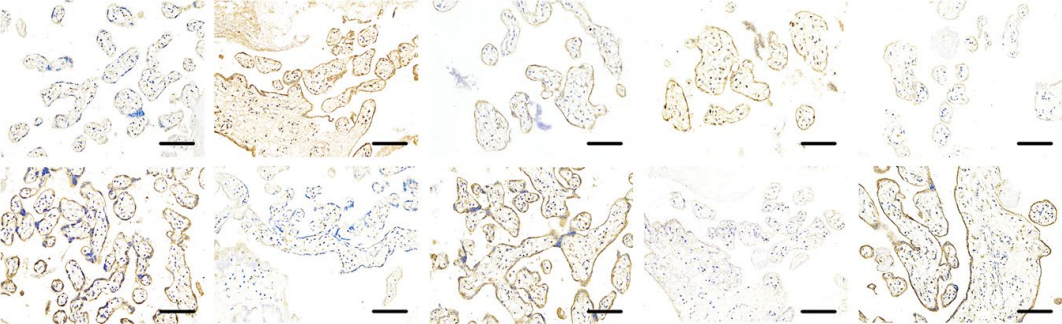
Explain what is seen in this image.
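This grid shows sections of placental tissue in which many villi are cut across as rounded and branching profiles lying in open, empty space. Each villus is bordered by a thin continuous surface layer of cells, and its core is a loose, pale stroma with scattered small blue nuclei. Where the stain is present, the brown colour is concentrated along the outer border of the villi, tracing their outlines as a dark rim, with fainter brown in the core. The intensity of the brown varies markedly between images: some show strongly outlined villi, while in others the villi are almost unstained and appear only in pale blue and beige. Occasional patches of denser blue staining lie within or beside some villi.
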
